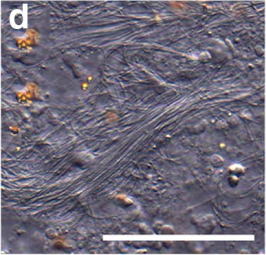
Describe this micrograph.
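The threads run in parallel, wavy bundles that curve across the field. Between the bundles lie small rounded granules and scattered debris, some with a yellow-orange tint.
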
